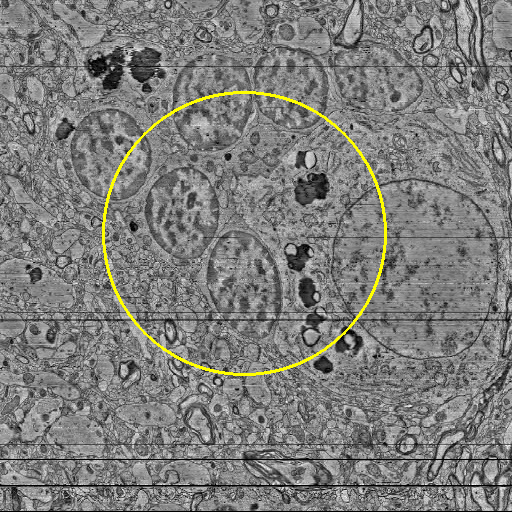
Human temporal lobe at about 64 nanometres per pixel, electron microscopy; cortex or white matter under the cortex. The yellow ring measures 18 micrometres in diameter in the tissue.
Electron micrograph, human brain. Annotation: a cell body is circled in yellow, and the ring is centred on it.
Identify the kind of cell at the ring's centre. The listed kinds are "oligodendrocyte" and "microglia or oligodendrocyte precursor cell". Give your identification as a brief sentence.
The circled cell body is that of an oligodendrocyte.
